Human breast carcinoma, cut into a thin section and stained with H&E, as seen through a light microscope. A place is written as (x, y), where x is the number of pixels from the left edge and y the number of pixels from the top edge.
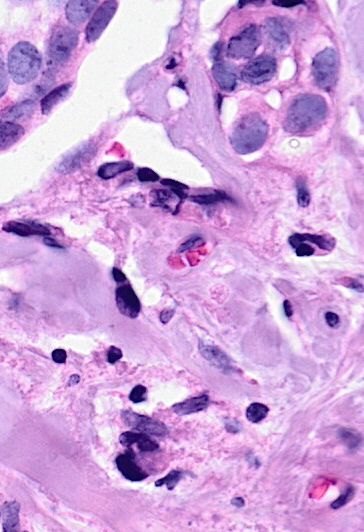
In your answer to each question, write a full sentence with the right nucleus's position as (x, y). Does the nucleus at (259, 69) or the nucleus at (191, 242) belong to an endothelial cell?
Which one belongs to an endothelial cell? The nucleus at (191, 242) does.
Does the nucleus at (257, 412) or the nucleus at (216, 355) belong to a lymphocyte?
The one at (257, 412) is the nucleus belonging to a lymphocyte, not the other one.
